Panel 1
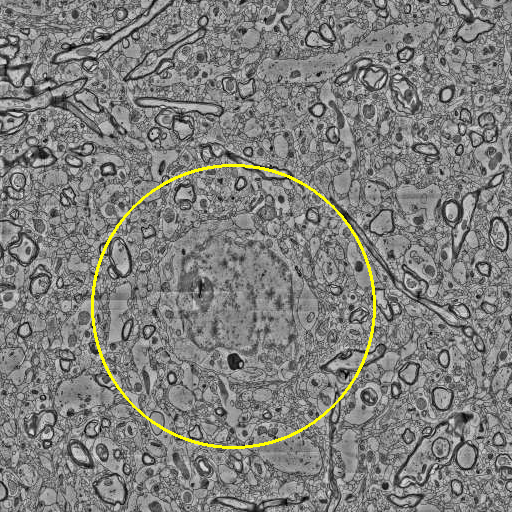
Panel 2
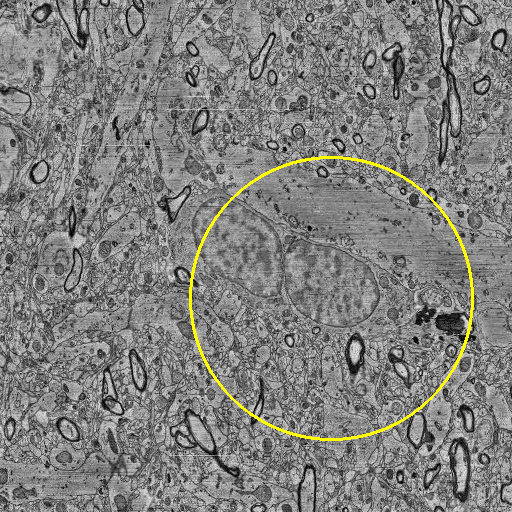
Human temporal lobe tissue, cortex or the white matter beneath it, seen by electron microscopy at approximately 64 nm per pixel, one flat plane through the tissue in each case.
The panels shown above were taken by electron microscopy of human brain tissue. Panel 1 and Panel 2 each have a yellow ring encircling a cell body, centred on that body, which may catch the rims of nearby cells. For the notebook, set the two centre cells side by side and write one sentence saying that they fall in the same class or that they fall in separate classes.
The centred cells of Panel 1 and Panel 2 fall in separate classes.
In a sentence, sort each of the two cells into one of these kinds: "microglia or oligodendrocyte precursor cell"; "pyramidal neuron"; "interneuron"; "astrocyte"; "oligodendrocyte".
The first of the two cells is an interneuron, and the second is an oligodendrocyte.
